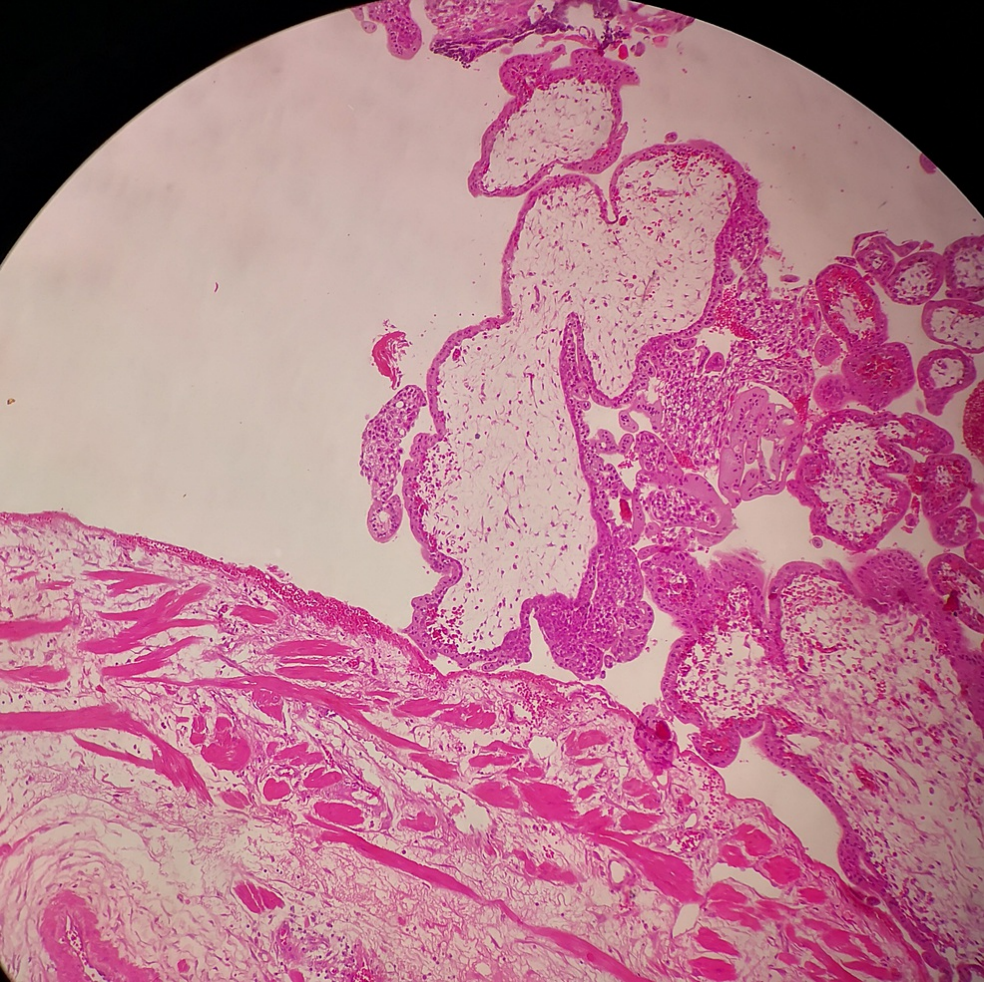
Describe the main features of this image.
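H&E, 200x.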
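This section shows chorionic villi lying next to a band of wall tissue. Several villi are much enlarged and have irregular, lobed outlines. Their cores are pale pink and loose, with few scattered cells, and each is bordered by a thin purple rim of covering cells. At one end of some villi, the covering cells form thick, dense purple clusters, mostly in the center and right of the field. Smaller villi crowd the right edge, some holding red blood cells. Along the lower left runs the wall, a layer of loose pale tissue crossed by bright pink elongated bundles, with a vessel-like wavy structure in the far lower left.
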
